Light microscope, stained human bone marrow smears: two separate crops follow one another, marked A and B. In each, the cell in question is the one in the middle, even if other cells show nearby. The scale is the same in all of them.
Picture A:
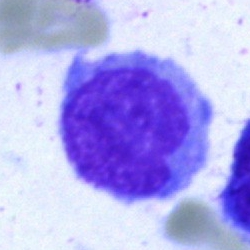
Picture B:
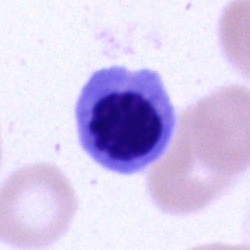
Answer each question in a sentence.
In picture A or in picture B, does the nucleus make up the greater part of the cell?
It is the cell in picture A that is filled more by its nucleus.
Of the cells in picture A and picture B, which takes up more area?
Larger is the cell in picture A, at roughly 2 times the area of the other.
